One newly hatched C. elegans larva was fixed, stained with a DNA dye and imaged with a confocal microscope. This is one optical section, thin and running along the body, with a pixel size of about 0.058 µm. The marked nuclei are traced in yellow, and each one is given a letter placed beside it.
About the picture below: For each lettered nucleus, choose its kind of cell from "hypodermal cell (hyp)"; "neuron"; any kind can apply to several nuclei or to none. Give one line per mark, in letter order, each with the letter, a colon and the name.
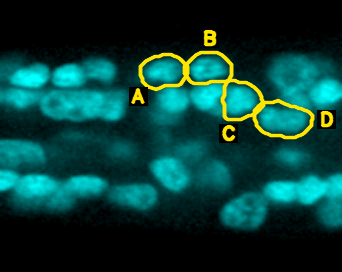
A: hypodermal cell (hyp)
B: hypodermal cell (hyp)
C: neuron
D: neuron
